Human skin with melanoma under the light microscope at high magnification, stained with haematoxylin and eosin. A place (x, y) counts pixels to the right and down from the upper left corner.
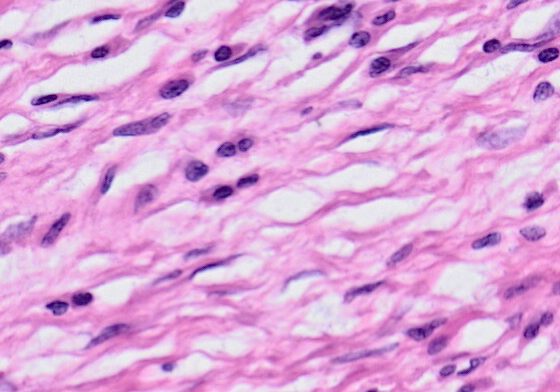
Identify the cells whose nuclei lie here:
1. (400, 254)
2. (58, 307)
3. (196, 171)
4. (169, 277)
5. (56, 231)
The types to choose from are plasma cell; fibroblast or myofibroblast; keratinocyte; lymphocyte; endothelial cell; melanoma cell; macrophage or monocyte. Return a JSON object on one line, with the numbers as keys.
{"1": "macrophage or monocyte", "2": "lymphocyte", "3": "lymphocyte", "4": "fibroblast or myofibroblast", "5": "macrophage or monocyte"}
